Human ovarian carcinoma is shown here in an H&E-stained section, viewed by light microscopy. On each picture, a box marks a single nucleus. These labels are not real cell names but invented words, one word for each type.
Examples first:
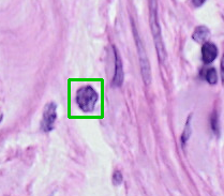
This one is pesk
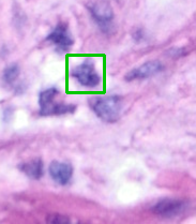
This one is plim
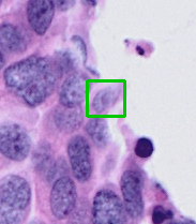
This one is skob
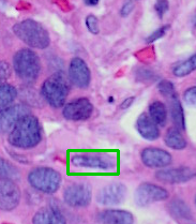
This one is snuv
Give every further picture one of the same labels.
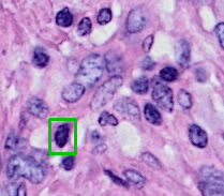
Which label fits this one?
pesk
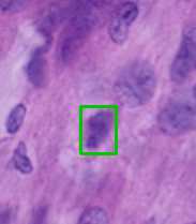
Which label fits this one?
plim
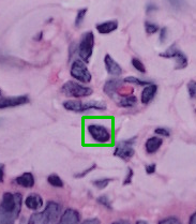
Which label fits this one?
pesk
